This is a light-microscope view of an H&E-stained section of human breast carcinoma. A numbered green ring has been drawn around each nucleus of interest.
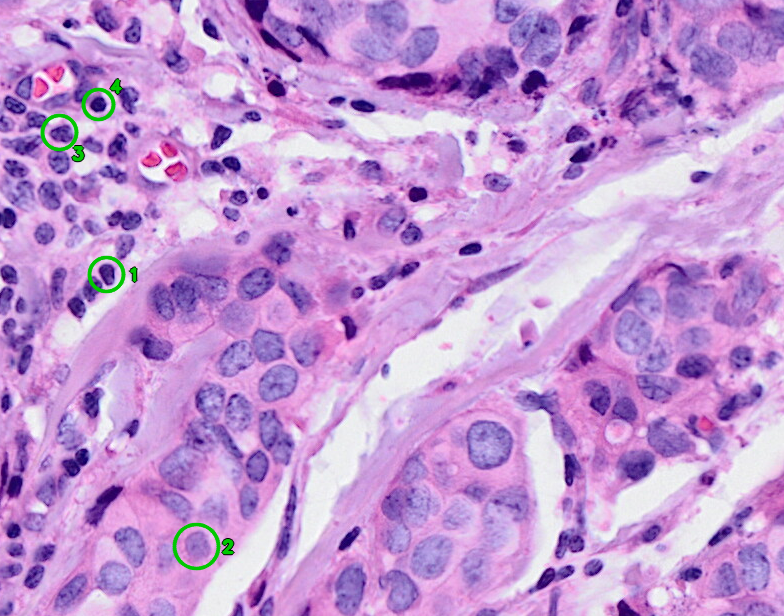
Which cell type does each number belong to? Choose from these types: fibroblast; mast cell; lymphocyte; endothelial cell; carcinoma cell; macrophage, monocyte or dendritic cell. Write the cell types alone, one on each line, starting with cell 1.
lymphocyte
carcinoma cell
lymphocyte
lymphocyte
